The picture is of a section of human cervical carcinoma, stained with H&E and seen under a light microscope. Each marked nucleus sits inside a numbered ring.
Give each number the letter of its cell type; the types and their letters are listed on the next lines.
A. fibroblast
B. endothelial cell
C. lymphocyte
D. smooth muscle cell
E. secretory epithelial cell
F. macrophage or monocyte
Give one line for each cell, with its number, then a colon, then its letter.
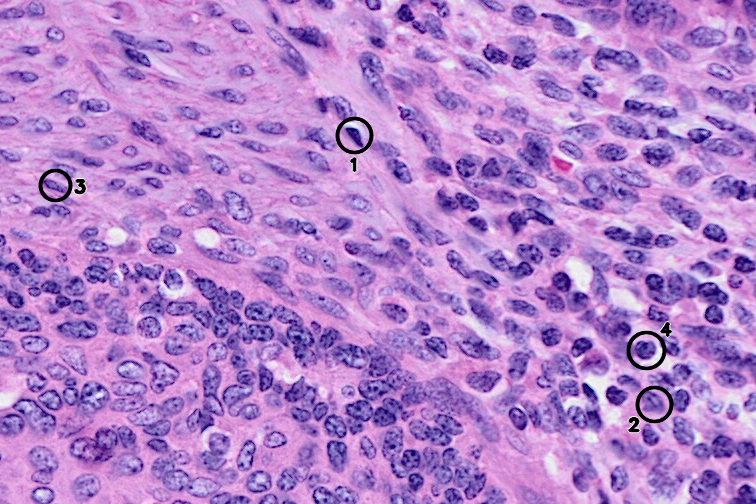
1: C
2: C
3: D
4: C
